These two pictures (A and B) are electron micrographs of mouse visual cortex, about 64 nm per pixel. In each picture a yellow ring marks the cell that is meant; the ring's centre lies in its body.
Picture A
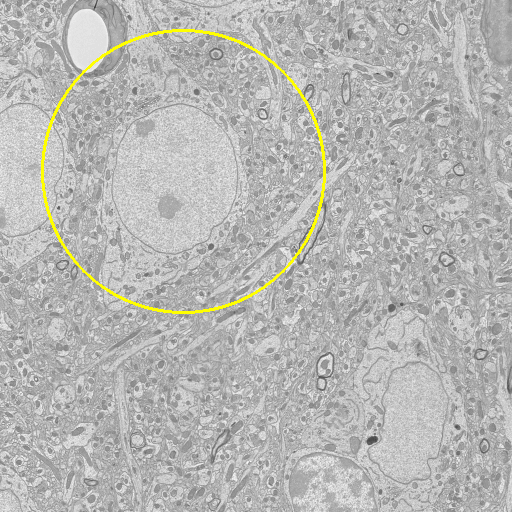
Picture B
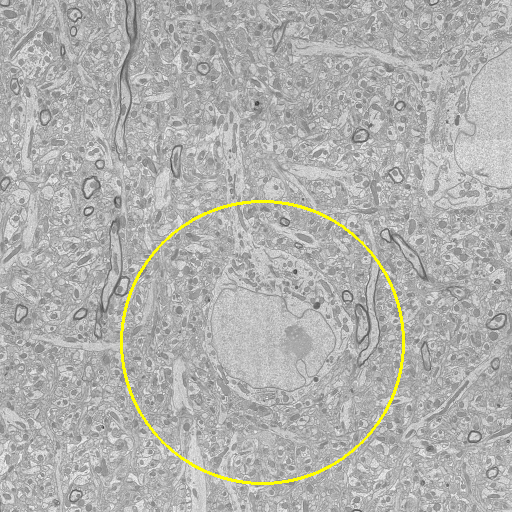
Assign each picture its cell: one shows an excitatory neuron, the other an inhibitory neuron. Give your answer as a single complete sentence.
Picture A shows an excitatory neuron and picture B shows an inhibitory neuron.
